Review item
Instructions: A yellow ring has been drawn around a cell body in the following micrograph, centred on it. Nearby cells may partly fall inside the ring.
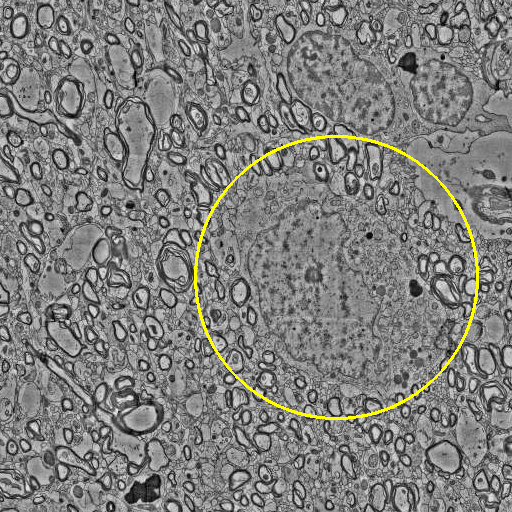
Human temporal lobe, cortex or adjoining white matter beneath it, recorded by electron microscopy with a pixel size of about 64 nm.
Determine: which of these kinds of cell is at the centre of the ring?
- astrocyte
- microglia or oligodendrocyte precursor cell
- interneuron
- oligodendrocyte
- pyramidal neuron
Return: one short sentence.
The cell body in the middle of the ring is that of an interneuron.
